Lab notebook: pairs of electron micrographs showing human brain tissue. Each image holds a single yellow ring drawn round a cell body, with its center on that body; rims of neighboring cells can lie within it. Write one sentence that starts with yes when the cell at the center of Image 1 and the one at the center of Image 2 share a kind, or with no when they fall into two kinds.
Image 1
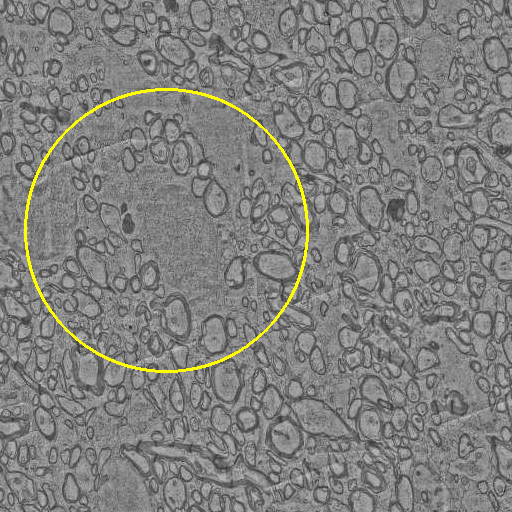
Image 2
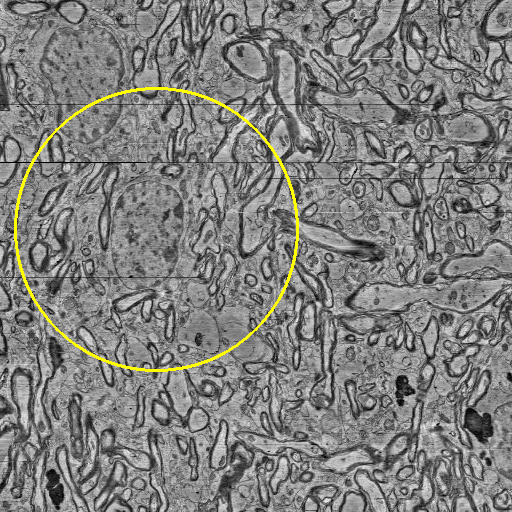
No, the centered cell in Image 1 and the centered cell in Image 2 are of two kinds.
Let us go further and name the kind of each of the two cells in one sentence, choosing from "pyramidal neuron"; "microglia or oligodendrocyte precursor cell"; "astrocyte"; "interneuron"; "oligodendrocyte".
The ring of the first picture is on an oligodendrocyte, the ring of the second on a microglial cell or oligodendrocyte precursor cell.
